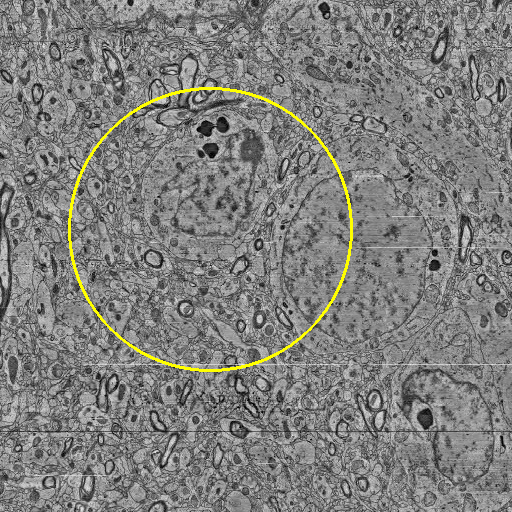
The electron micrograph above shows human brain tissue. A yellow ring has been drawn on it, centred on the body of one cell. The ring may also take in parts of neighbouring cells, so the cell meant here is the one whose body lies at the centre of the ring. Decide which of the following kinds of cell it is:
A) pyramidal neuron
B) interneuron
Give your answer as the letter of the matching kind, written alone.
B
